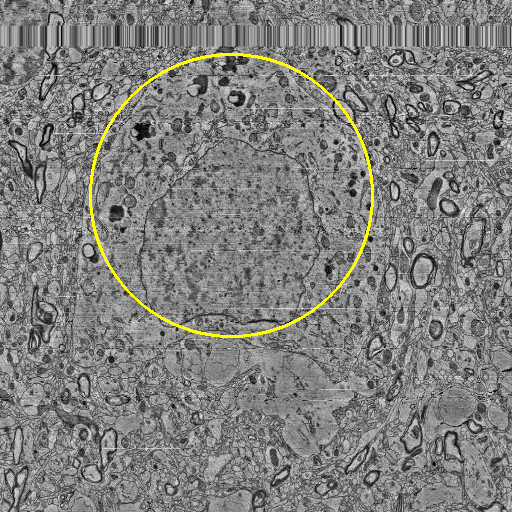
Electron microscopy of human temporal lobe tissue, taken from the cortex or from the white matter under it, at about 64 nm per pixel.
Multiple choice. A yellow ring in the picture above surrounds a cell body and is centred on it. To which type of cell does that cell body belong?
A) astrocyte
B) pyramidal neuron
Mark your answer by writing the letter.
B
